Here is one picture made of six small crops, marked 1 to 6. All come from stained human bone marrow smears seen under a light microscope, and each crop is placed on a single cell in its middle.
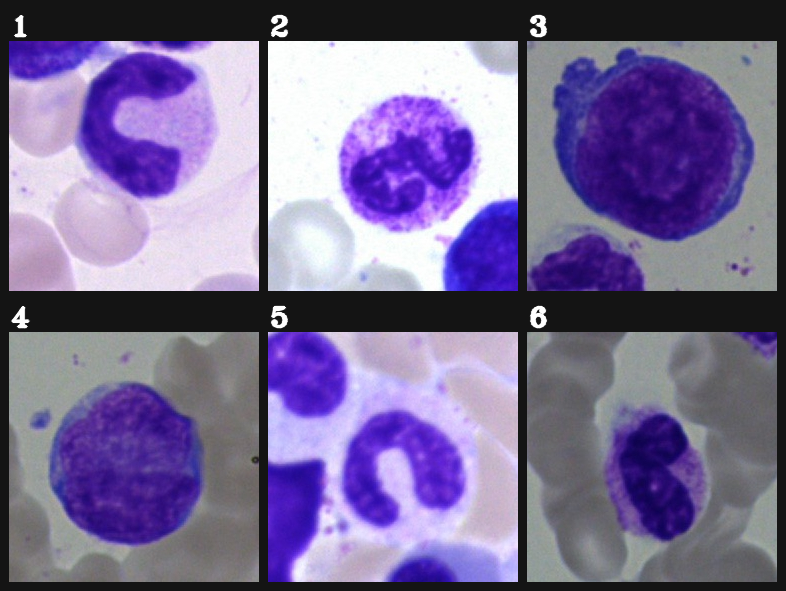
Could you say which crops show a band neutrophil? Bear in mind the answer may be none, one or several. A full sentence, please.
That crops 1, 5 and 6 show band neutrophils is the identification made here.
